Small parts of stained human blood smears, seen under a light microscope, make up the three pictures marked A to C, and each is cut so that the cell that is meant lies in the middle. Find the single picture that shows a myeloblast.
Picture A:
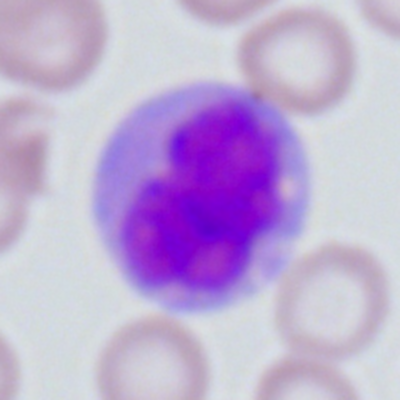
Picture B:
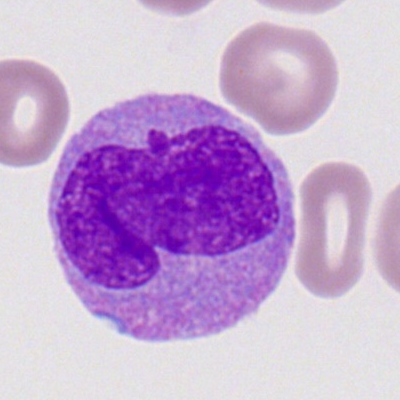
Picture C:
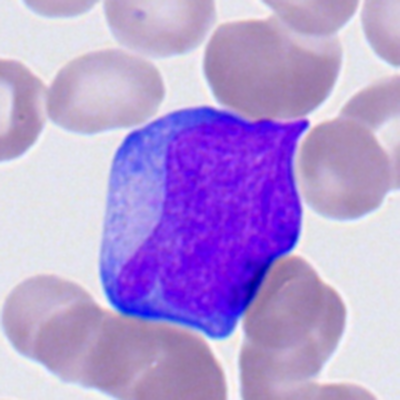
C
